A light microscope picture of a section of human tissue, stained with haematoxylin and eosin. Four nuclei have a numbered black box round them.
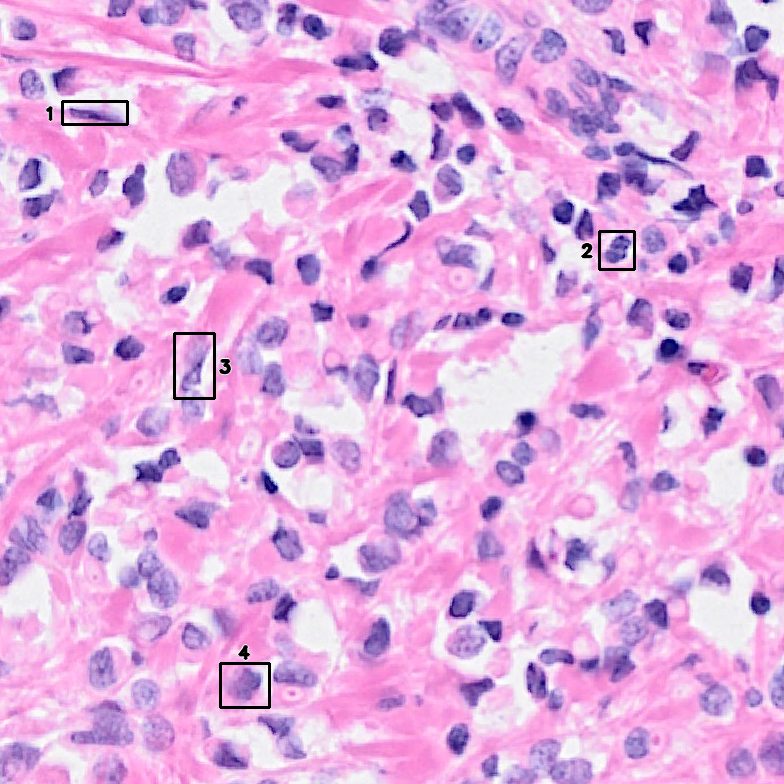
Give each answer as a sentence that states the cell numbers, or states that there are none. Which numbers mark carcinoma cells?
The cell labelled 4 is a carcinoma cell, while the remaining numbered cells are not.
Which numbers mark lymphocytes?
Only one marked cell, number 2, is a lymphocyte.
